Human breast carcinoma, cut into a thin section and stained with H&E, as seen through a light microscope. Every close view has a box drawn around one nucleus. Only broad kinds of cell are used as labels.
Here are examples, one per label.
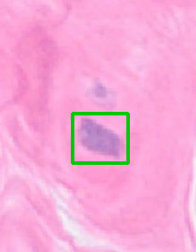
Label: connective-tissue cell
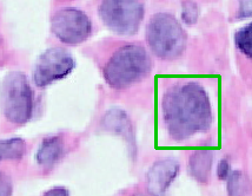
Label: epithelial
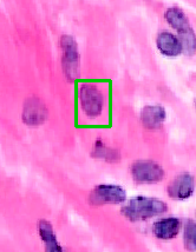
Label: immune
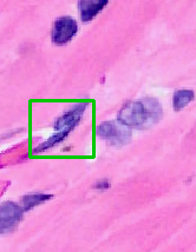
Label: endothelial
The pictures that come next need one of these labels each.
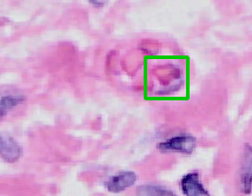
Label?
endothelial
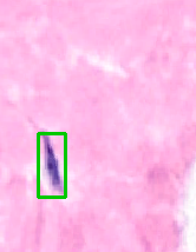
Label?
connective-tissue cell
